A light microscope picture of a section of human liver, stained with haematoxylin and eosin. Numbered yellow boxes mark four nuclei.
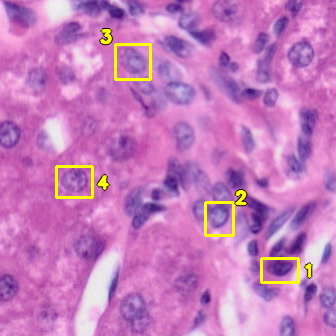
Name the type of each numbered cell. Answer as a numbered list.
1. fibroblast or stellate cell
2. cholangiocyte
3. cholangiocyte
4. hepatocyte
